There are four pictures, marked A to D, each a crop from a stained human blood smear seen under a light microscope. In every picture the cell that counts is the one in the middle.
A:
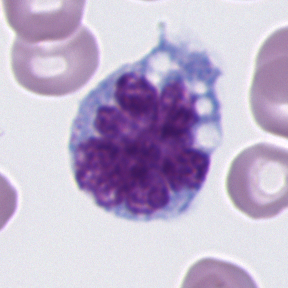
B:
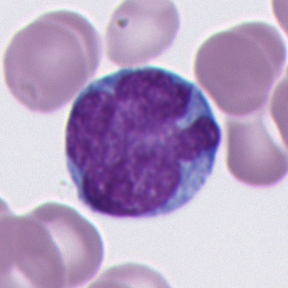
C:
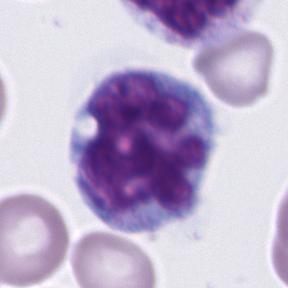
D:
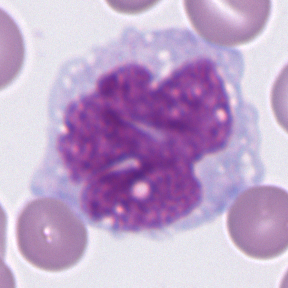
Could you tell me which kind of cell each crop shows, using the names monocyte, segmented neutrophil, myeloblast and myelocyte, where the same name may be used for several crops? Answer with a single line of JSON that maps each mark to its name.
{"A": "monocyte", "B": "myeloblast", "C": "monocyte", "D": "monocyte"}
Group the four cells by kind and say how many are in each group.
monocyte: 3
myeloblast: 1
